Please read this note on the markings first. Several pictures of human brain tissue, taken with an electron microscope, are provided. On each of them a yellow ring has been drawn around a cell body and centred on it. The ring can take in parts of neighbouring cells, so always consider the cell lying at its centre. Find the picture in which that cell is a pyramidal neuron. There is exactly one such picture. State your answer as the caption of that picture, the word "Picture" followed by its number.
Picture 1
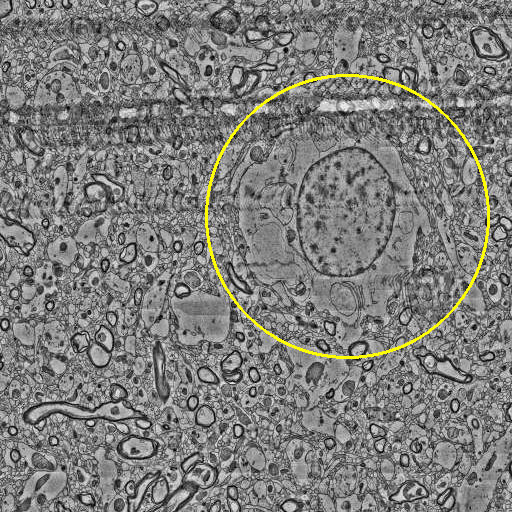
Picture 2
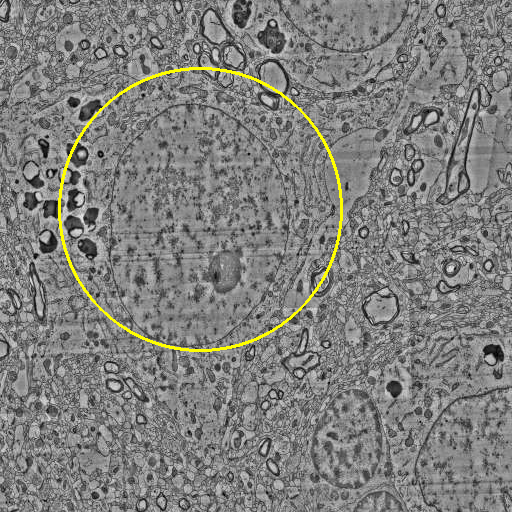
Picture 2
